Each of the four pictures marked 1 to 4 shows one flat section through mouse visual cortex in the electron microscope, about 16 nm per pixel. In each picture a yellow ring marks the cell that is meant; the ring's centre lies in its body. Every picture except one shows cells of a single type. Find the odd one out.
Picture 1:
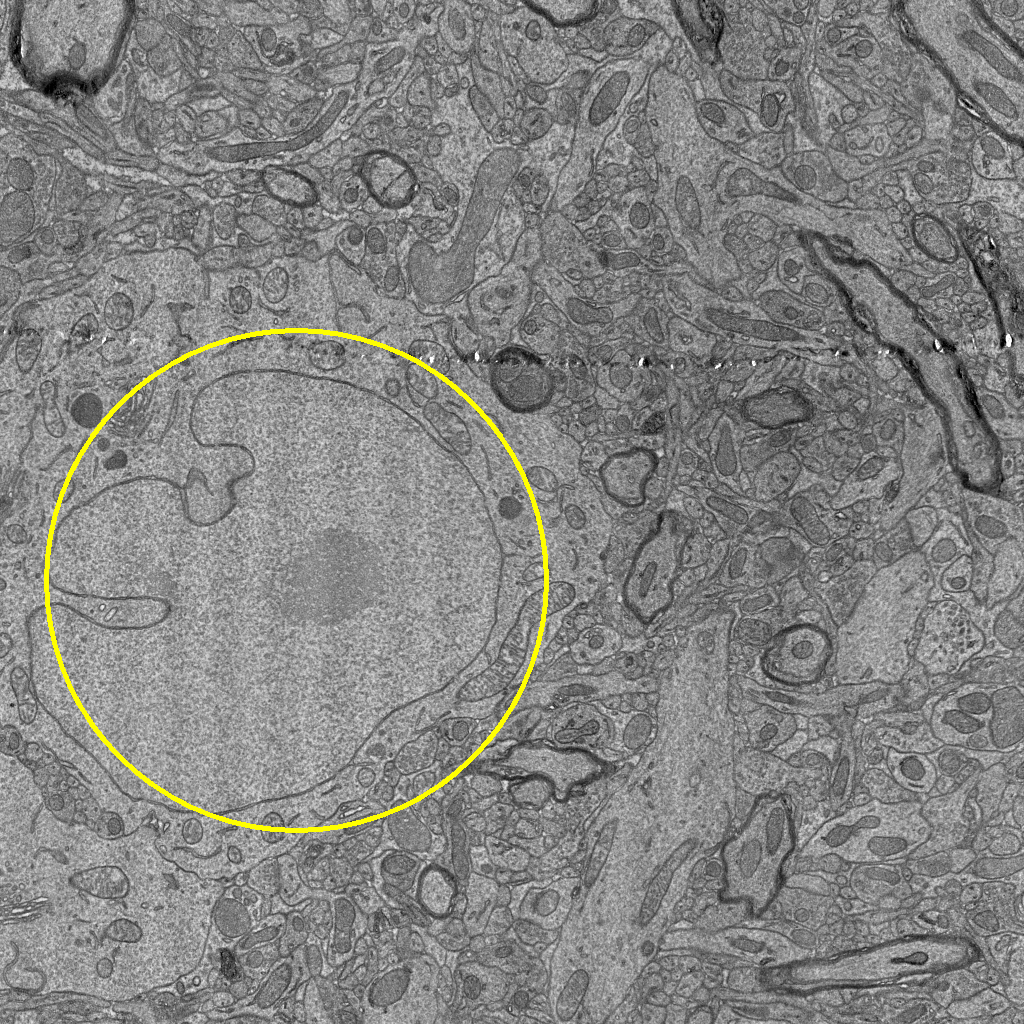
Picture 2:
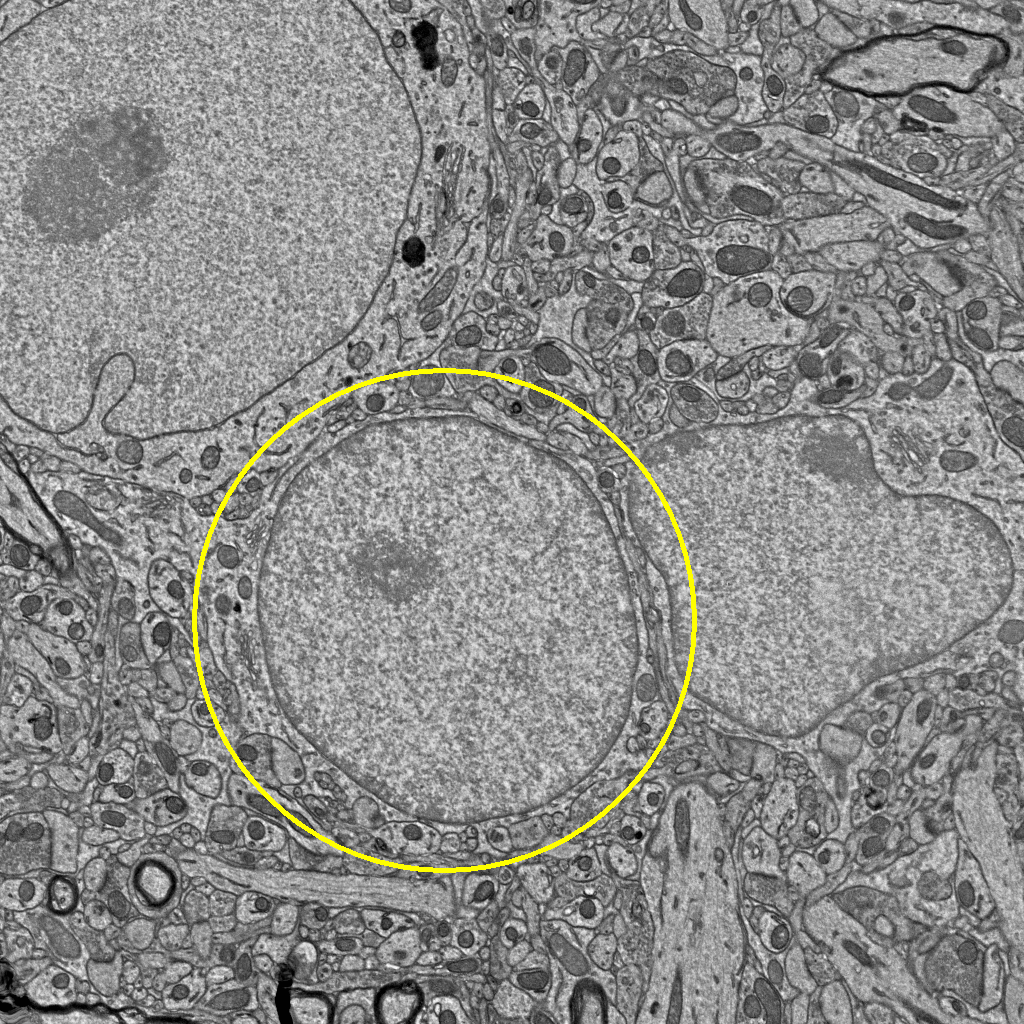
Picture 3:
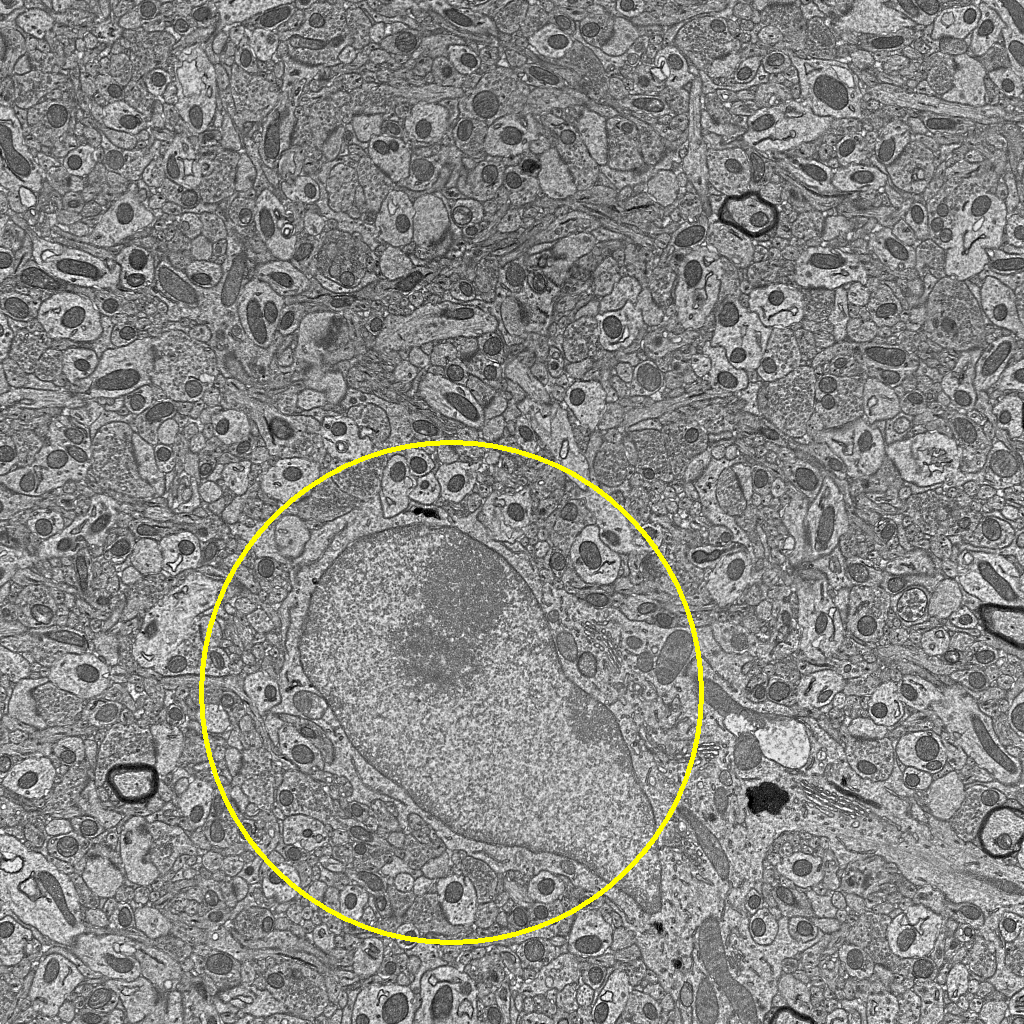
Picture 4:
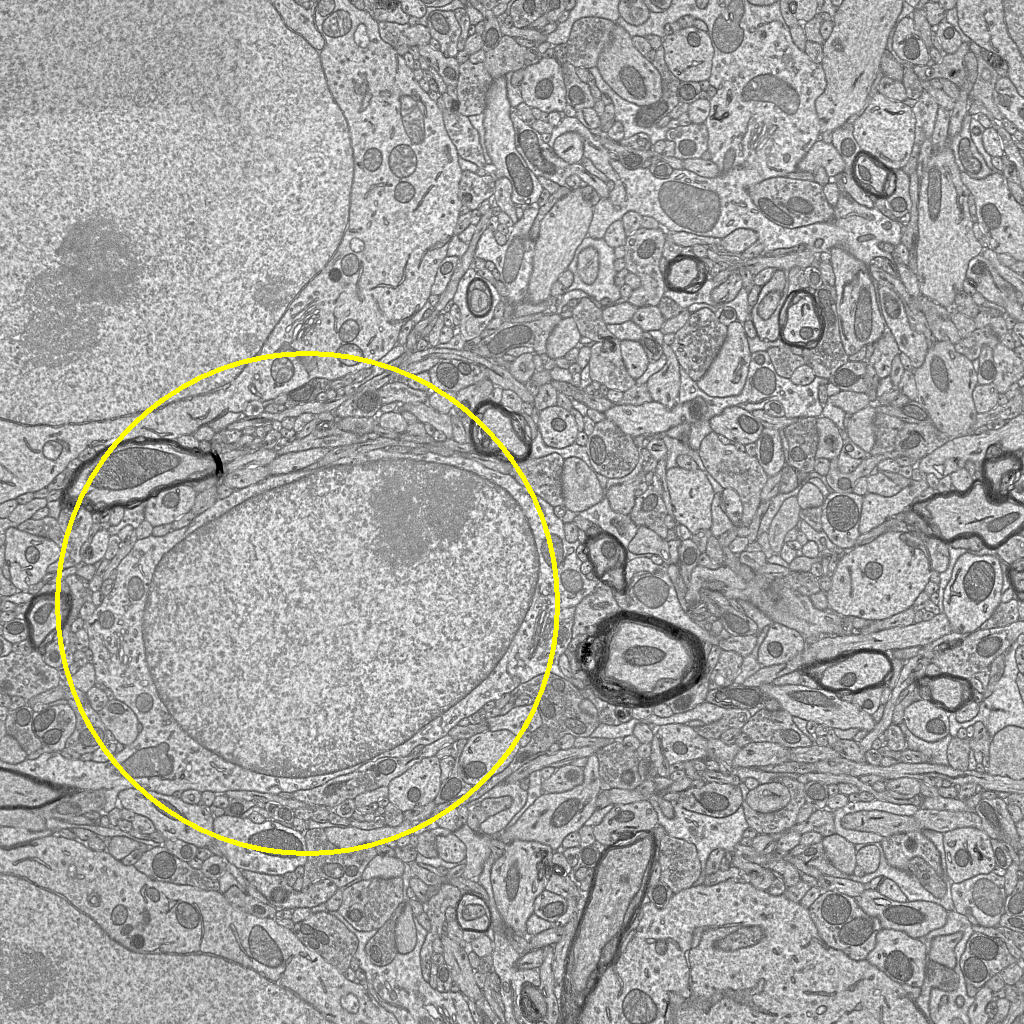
Picture 1 differs, because its cell is an excitatory neuron and the rest are astrocytes.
